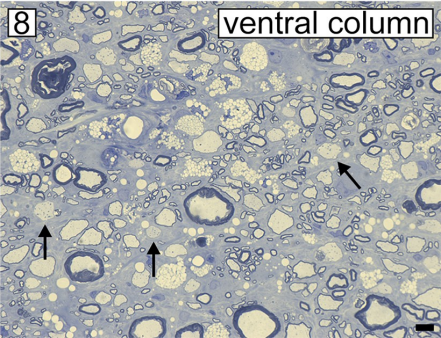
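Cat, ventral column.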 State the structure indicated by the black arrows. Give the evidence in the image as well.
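Demyelinated axons. Arrowed profiles are pale round axons with no dark ring around them. Nearby axons have dark myelin rings.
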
